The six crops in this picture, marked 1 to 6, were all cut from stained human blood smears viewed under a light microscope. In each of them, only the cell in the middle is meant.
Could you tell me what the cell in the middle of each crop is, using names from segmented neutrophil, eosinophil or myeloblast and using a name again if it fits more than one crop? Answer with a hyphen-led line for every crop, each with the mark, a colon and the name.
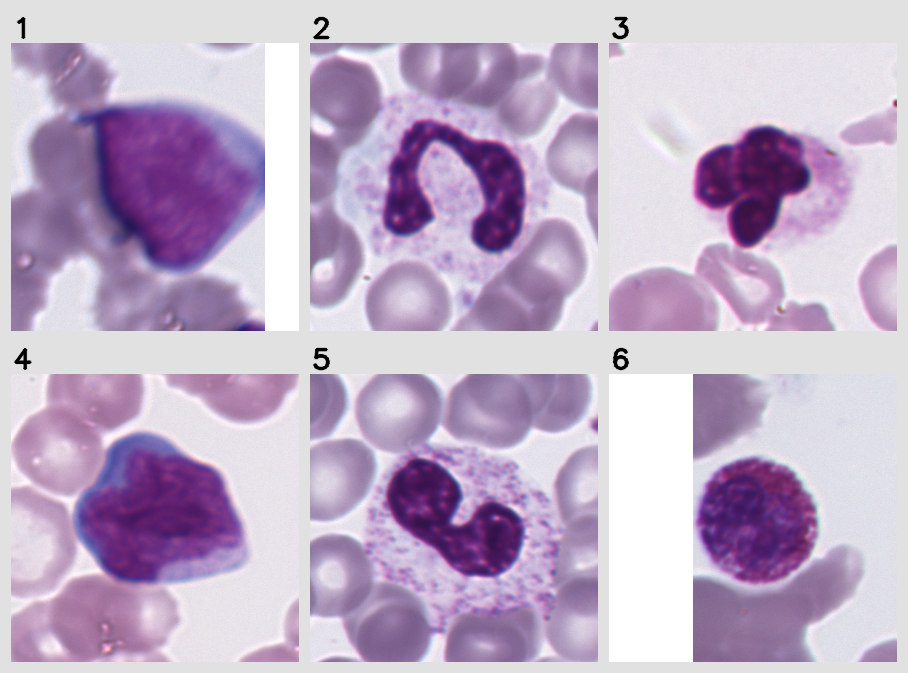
- 1: myeloblast
- 2: segmented neutrophil
- 3: segmented neutrophil
- 4: myeloblast
- 5: segmented neutrophil
- 6: eosinophil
